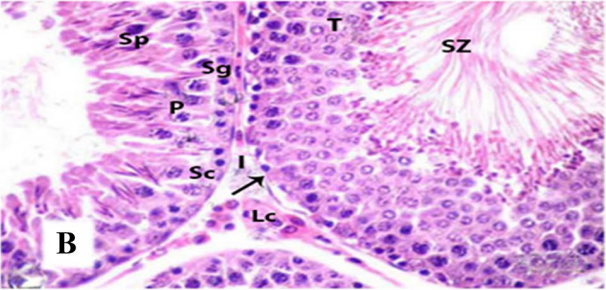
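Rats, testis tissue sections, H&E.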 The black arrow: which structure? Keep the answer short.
Basement membranes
